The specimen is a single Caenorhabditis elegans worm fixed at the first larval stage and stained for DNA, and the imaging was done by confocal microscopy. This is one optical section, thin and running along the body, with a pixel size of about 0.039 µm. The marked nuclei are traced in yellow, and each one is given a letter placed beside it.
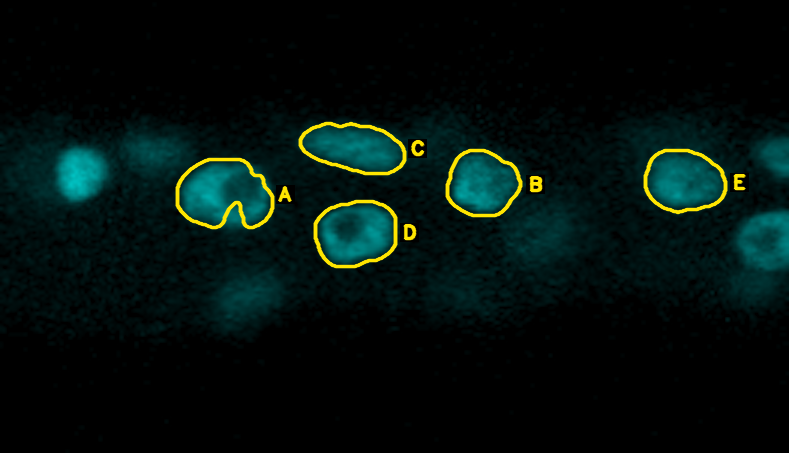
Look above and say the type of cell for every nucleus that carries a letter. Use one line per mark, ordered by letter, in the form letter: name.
A: seam cell
B: Q neuroblast
C: P cell (ventral epidermal blast cell)
D: hypodermal cell (hyp)
E: seam cell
